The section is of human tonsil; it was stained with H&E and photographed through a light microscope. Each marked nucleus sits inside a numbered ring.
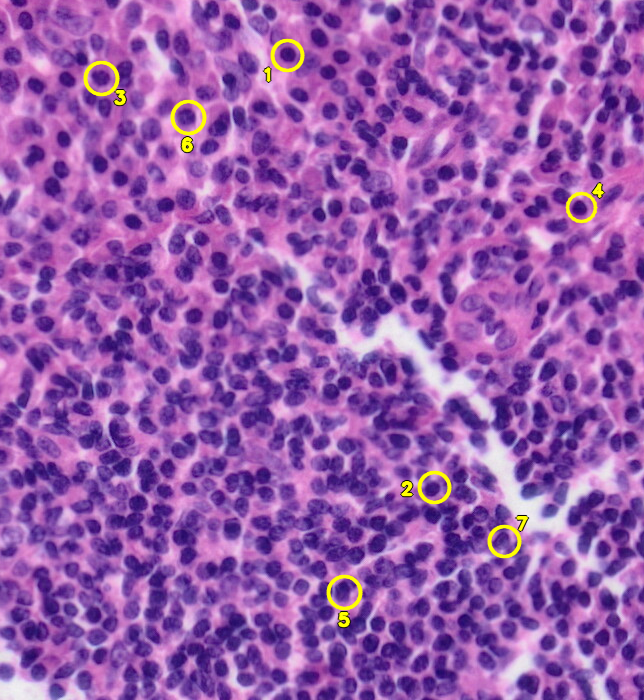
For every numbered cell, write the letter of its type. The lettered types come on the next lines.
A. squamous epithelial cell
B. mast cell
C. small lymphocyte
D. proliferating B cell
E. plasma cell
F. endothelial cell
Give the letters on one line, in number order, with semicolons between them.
E; C; E; E; C; E; C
